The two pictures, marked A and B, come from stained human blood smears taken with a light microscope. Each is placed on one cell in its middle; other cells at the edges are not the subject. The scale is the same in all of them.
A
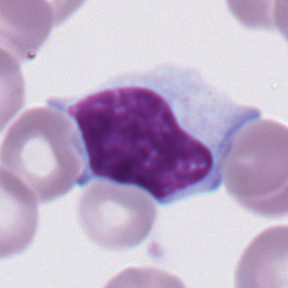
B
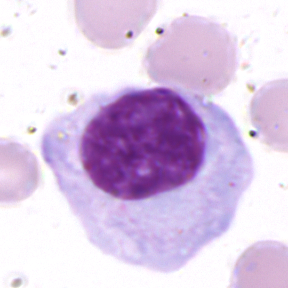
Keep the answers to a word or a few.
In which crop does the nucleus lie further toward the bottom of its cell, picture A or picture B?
A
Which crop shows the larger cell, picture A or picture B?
B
